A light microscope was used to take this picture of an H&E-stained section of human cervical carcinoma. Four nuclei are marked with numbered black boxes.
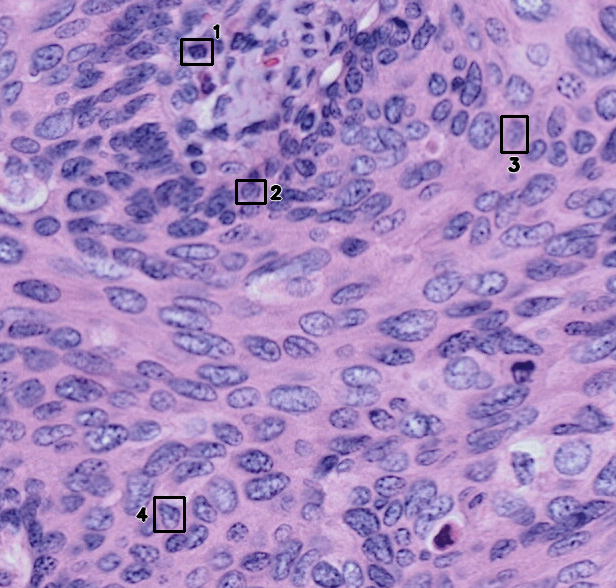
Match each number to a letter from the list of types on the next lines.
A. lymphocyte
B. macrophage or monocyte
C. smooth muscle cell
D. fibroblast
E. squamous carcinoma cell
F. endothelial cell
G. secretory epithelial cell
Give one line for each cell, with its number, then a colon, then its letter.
1: A
2: E
3: E
4: E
